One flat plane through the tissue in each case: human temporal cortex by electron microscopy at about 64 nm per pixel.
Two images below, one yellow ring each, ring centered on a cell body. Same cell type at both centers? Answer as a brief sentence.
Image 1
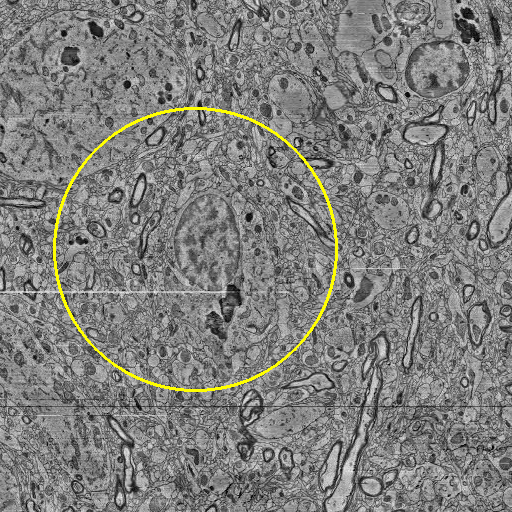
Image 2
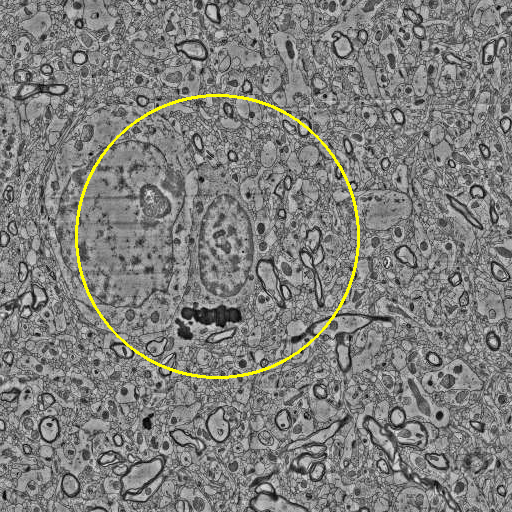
Yes, both cells are of the same type.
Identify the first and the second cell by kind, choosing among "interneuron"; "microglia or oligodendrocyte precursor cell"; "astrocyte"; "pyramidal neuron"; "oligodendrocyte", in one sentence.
The ring centre holds an oligodendrocyte in each of the two pictures.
